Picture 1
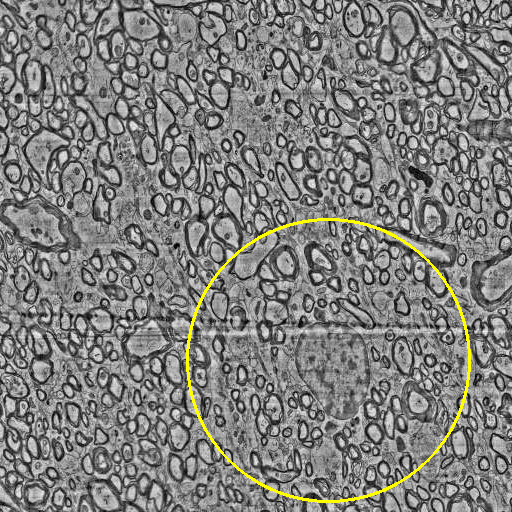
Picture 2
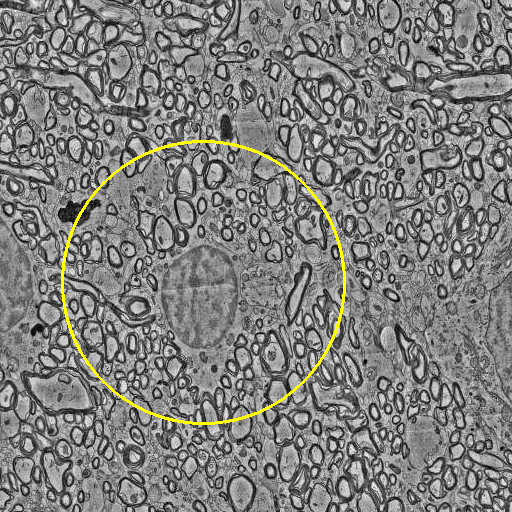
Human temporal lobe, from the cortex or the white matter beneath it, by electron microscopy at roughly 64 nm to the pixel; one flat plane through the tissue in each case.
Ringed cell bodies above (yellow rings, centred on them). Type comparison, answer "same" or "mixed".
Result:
mixed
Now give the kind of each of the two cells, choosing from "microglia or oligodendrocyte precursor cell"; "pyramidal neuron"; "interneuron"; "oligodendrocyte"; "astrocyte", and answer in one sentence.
The cell in the first picture is a microglial cell or oligodendrocyte precursor cell, and the cell in the second is an oligodendrocyte.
